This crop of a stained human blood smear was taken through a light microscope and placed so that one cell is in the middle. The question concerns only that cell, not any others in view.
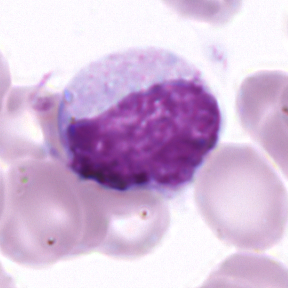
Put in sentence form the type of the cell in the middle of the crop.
The middle of this crop is occupied by a metamyelocyte.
